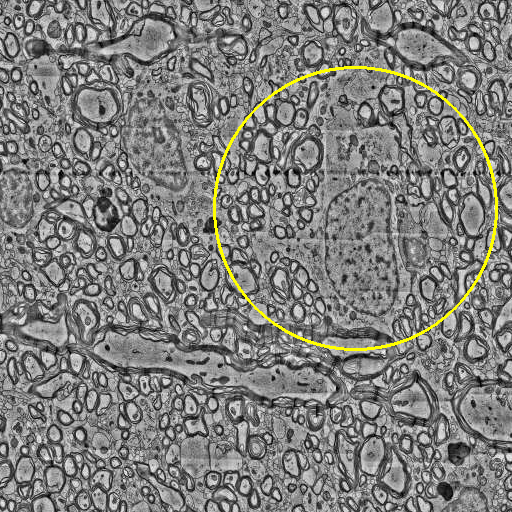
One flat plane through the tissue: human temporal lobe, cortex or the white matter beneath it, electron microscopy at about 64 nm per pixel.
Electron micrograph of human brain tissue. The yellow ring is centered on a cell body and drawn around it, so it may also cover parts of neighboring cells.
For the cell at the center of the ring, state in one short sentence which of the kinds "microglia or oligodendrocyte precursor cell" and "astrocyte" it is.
This ring is centered on an astrocyte.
